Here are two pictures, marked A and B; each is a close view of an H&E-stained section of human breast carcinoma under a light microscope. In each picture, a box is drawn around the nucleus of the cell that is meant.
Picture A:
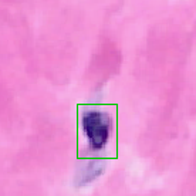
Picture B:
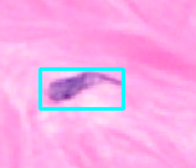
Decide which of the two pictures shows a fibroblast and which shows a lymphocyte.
A: lymphocyte
B: fibroblast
